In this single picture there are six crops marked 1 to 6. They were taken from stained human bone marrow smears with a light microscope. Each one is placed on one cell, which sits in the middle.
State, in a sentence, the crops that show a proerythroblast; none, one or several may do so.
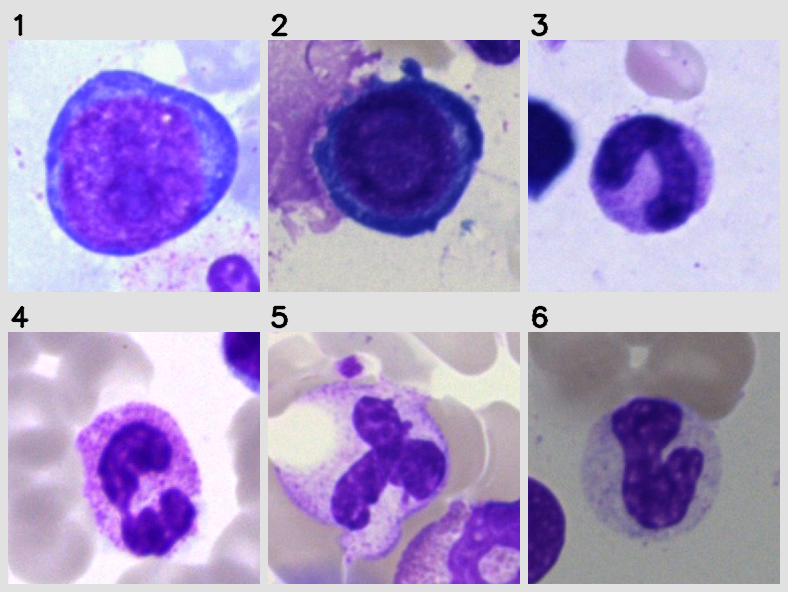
Crops 1 and 2 feature proerythroblasts as the cells at their centres.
